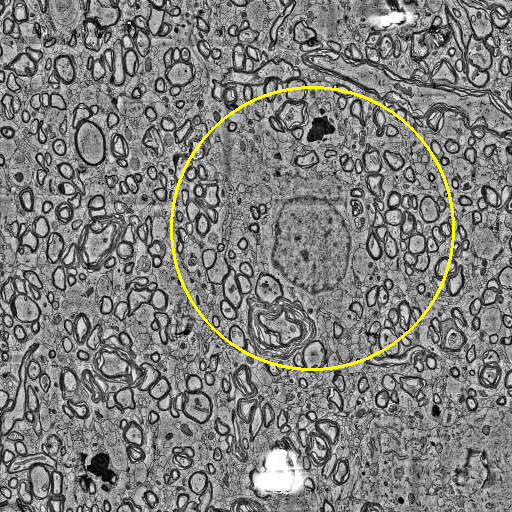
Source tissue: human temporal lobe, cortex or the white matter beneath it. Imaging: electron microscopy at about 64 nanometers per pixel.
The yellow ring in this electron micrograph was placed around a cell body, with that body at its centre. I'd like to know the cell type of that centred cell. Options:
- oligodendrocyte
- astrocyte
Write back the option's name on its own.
astrocyte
